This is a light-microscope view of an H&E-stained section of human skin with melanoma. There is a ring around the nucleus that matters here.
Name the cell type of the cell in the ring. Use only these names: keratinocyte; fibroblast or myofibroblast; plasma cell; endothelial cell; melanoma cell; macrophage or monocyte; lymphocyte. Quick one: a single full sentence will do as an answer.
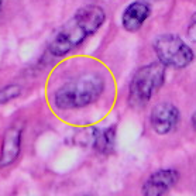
In this tissue sample, the cell in the ring is a melanoma cell.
